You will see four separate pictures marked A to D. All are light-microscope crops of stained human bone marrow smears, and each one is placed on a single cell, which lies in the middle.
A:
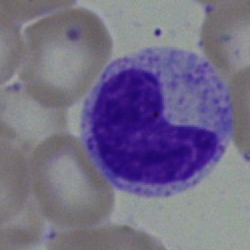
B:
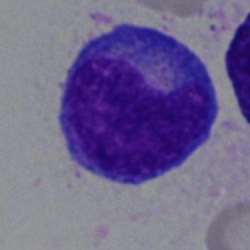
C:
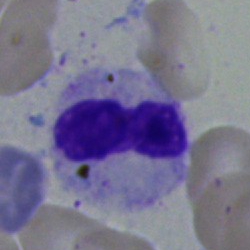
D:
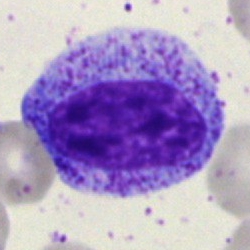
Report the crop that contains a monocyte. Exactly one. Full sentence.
Crop B is the right one; it is the crop showing a monocyte.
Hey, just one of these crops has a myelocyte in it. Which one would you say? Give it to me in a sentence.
In this set, crop D is the one showing a myelocyte.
